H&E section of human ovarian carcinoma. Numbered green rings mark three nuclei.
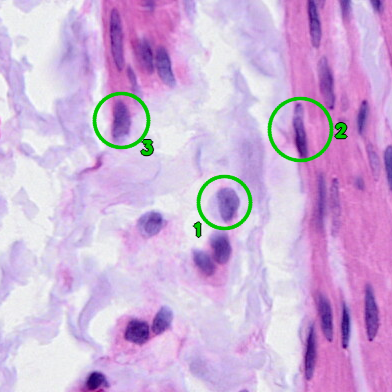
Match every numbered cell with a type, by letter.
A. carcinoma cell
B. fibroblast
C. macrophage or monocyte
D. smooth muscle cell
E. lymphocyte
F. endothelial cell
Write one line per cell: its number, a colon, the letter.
1: B
2: D
3: D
